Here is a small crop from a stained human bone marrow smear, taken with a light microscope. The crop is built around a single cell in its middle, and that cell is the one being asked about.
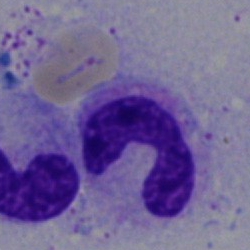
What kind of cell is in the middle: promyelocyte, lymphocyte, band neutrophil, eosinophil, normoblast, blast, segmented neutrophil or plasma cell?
segmented neutrophil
